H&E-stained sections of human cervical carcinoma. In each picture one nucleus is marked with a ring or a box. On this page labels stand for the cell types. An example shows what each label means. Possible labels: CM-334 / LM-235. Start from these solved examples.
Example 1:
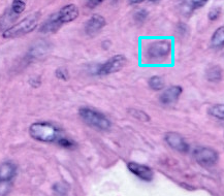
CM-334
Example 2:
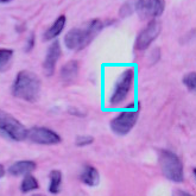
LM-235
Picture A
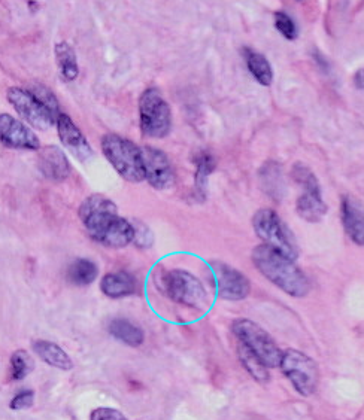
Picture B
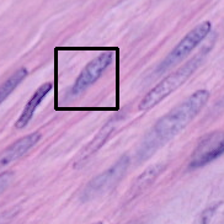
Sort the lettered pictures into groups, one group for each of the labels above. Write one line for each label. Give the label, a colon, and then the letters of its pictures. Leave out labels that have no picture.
CM-334: B
LM-235: A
